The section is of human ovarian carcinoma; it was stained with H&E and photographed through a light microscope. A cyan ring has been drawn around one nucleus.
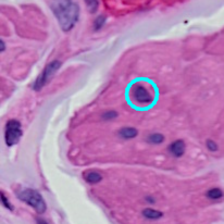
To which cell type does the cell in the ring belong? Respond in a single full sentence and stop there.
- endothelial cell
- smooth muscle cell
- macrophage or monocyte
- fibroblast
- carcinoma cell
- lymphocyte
The classification of the cell in the ring is as a smooth muscle cell.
